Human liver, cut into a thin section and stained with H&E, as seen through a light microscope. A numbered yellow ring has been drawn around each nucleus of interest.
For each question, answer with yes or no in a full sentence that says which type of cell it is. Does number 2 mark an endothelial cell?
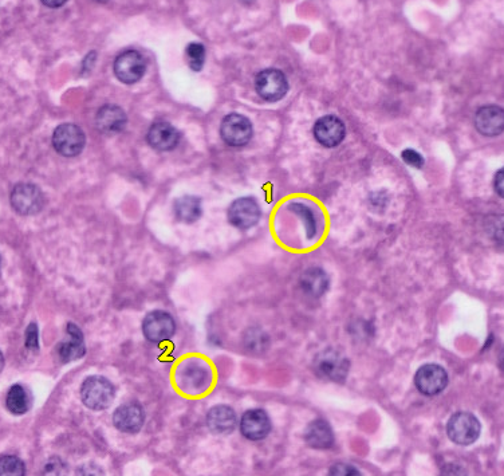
No, cell number 2 is a hepatocyte; it is not an endothelial cell.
